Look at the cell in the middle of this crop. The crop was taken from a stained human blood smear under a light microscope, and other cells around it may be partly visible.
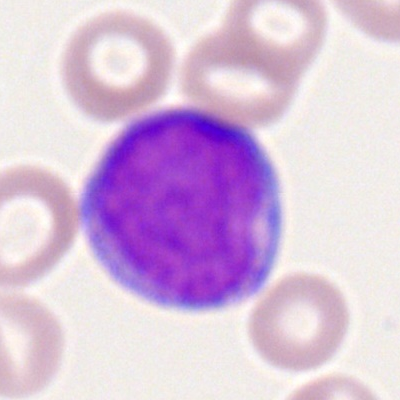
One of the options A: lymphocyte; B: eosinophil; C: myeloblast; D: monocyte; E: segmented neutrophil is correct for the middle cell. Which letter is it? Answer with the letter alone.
C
